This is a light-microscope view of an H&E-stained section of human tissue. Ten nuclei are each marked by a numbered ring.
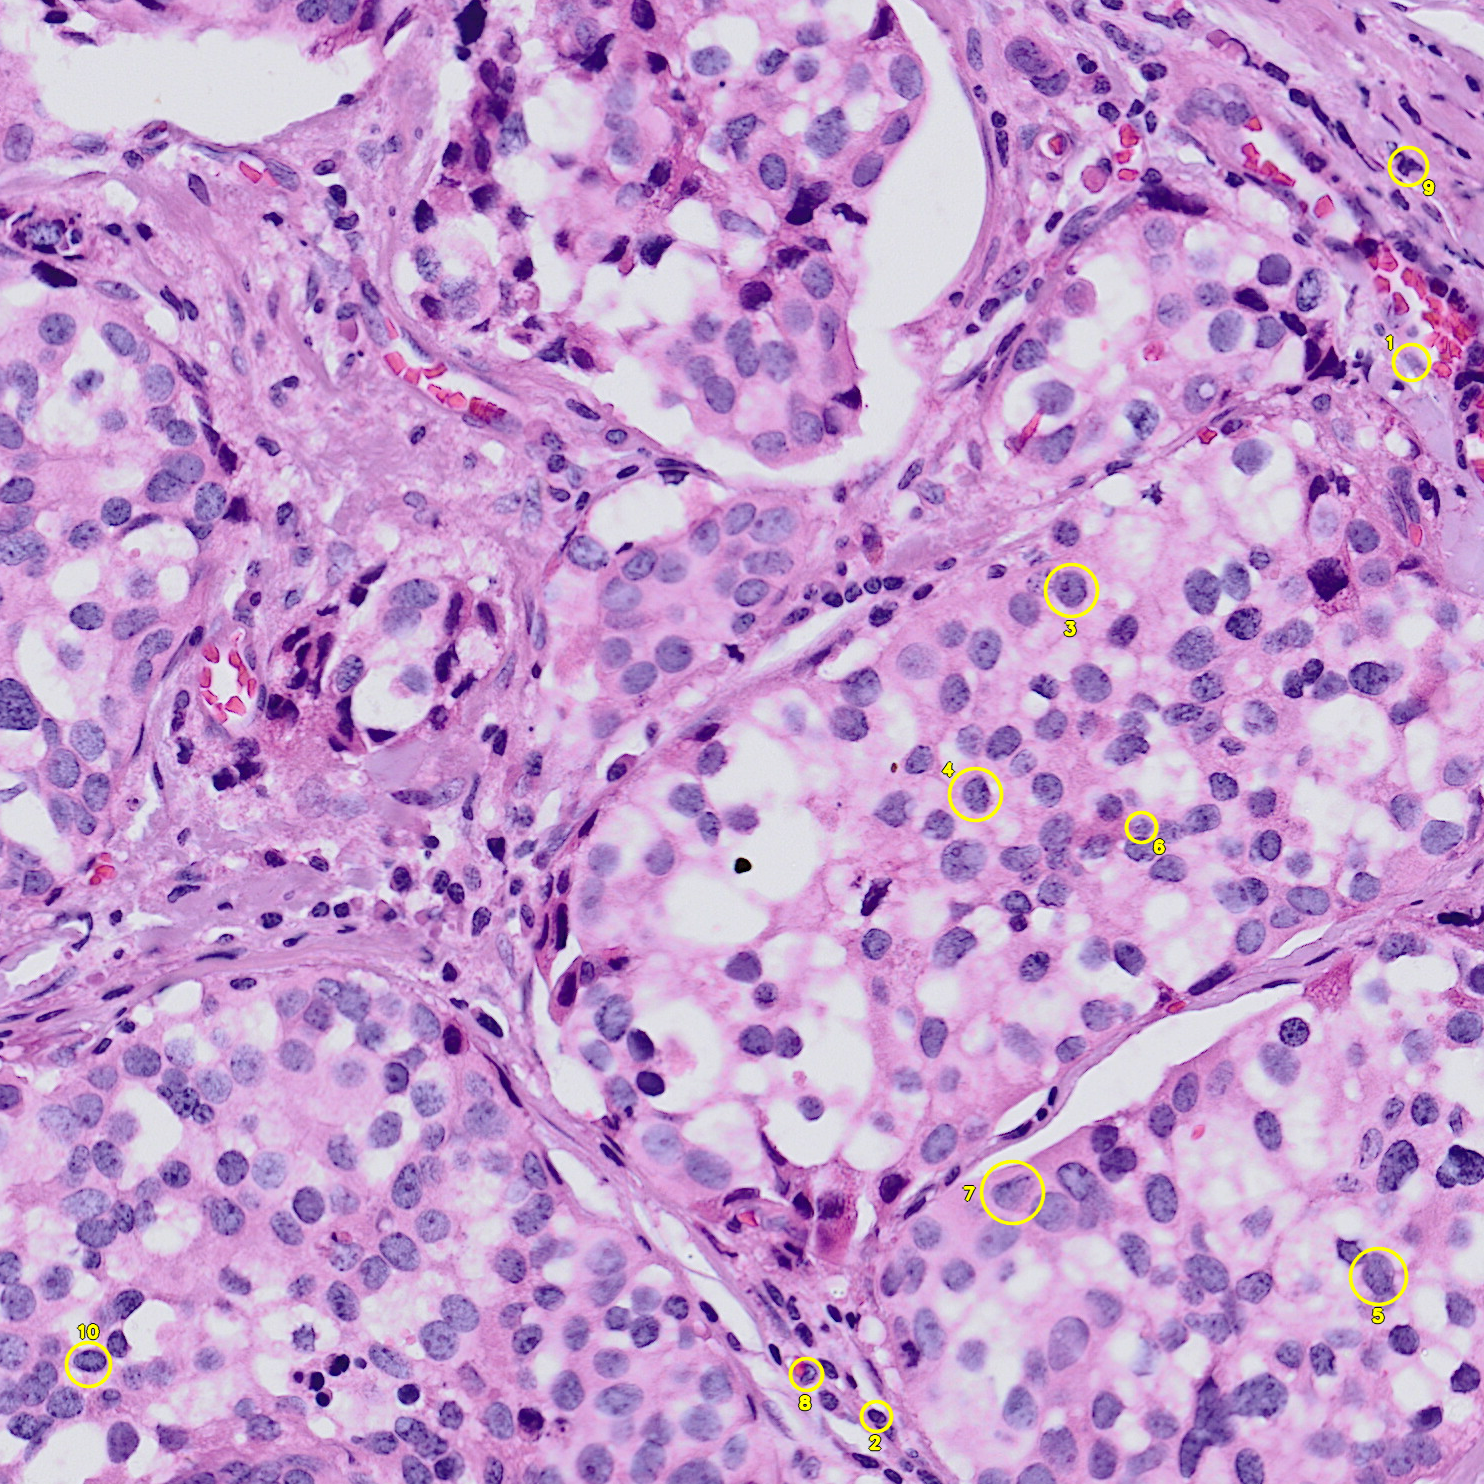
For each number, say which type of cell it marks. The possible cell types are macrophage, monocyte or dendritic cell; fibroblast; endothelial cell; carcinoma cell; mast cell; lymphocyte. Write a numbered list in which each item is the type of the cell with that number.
1. endothelial cell
2. lymphocyte
3. carcinoma cell
4. carcinoma cell
5. carcinoma cell
6. carcinoma cell
7. carcinoma cell
8. endothelial cell
9. lymphocyte
10. carcinoma cell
